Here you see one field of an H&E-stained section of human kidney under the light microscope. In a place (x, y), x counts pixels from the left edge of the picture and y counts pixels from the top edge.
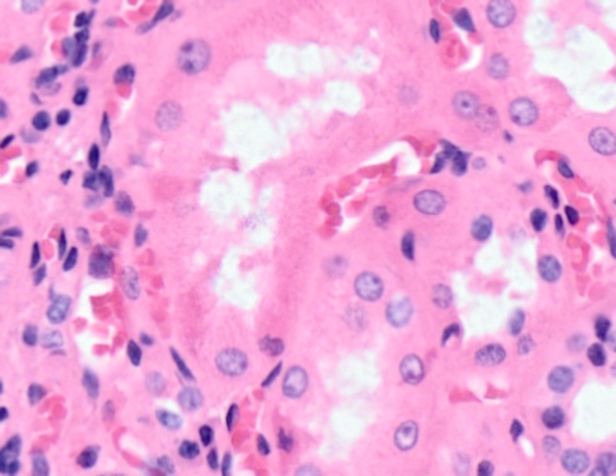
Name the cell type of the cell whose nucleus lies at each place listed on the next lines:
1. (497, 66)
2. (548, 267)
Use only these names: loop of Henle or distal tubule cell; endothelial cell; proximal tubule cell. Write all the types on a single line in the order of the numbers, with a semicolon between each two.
proximal tubule cell; loop of Henle or distal tubule cell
